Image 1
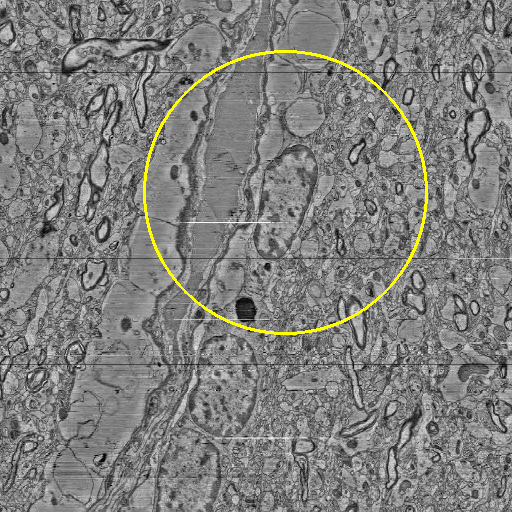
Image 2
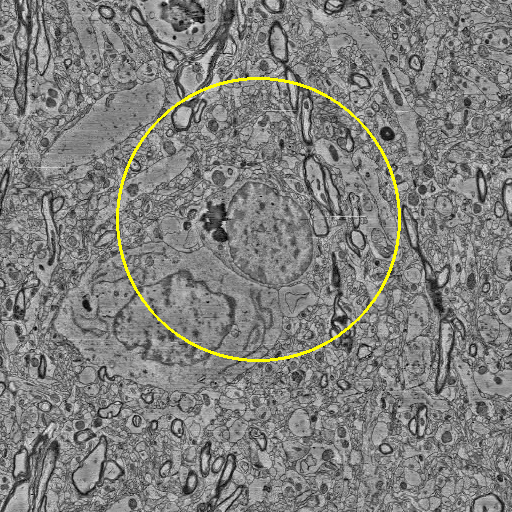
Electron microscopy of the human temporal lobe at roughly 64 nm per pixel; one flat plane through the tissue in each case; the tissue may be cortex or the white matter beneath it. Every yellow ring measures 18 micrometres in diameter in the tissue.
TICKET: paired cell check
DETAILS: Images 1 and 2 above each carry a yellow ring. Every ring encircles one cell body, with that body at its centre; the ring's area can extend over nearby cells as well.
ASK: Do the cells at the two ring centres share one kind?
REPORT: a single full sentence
No, the ring-centre cells of Images 1 and 2 belong to two kinds.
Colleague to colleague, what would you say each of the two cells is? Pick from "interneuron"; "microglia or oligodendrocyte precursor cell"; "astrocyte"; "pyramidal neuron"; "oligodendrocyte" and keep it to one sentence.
The cell in the first picture is a microglial cell or oligodendrocyte precursor cell; the second picture's cell is an oligodendrocyte.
